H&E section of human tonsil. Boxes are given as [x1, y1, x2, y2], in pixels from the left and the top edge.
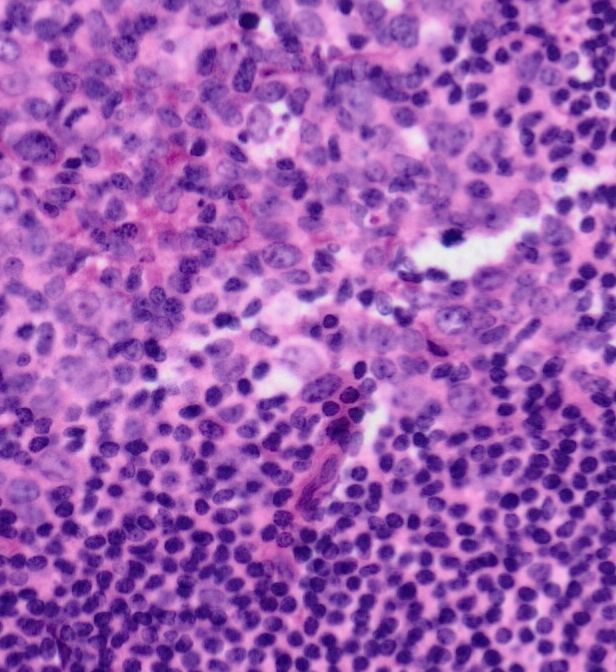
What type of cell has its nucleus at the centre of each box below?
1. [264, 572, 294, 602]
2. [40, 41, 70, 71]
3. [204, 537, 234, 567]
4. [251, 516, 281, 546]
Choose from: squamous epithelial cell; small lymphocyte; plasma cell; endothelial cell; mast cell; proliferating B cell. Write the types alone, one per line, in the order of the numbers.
small lymphocyte
proliferating B cell
small lymphocyte
small lymphocyte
